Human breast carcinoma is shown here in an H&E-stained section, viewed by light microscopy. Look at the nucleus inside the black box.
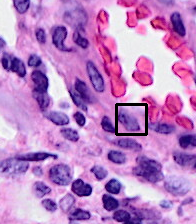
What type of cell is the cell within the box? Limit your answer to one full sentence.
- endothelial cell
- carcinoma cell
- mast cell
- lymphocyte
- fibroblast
In terms of identity, the cell within the box is an endothelial cell.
